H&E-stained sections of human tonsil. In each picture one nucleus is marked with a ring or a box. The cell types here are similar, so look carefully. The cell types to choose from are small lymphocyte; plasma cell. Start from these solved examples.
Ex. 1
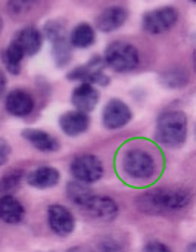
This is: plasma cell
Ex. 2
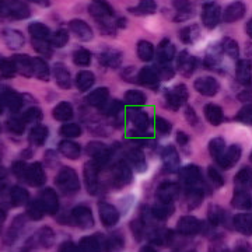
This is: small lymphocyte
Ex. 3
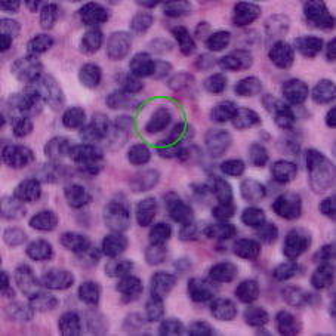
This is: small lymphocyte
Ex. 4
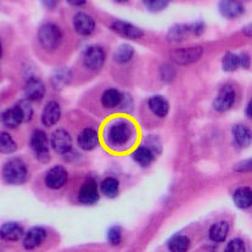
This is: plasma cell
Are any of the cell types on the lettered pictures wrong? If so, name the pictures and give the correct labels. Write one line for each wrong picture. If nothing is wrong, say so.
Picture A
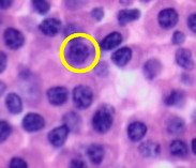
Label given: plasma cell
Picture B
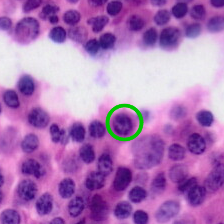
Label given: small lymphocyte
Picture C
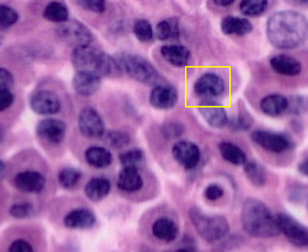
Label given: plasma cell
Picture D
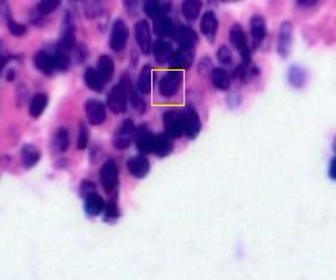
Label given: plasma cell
B should be plasma cell, not small lymphocyte
D should be small lymphocyte, not plasma cell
